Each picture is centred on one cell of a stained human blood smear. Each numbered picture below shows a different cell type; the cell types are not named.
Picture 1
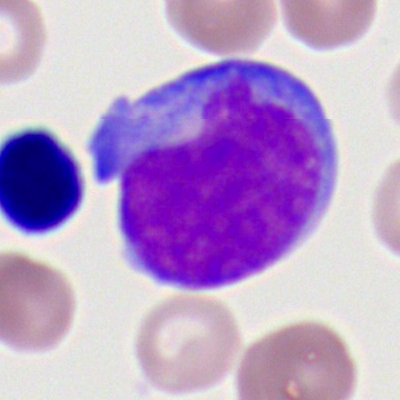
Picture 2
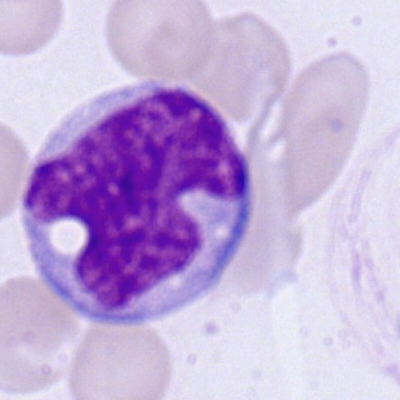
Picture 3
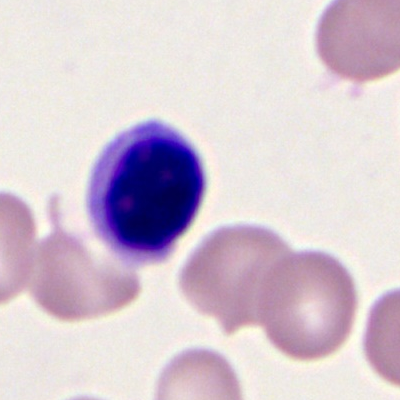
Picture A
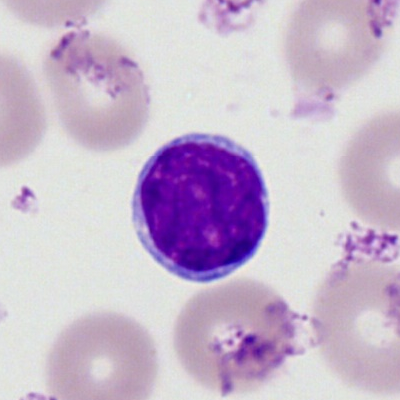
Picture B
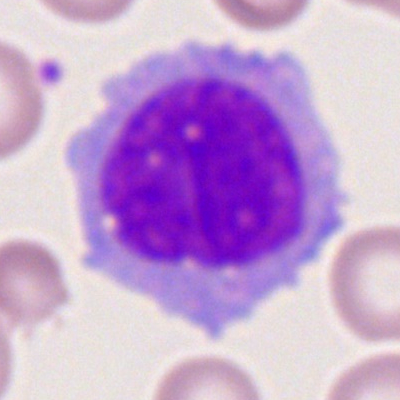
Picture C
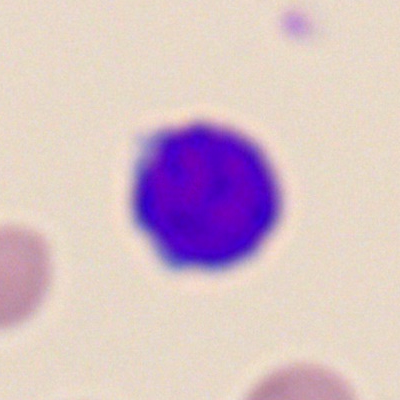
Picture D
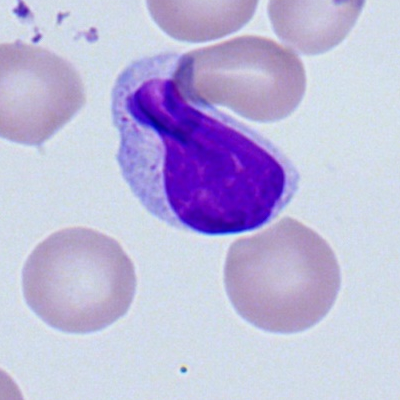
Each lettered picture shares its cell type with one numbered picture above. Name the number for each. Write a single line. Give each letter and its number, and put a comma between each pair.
A 3, B 2, C 3, D 3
